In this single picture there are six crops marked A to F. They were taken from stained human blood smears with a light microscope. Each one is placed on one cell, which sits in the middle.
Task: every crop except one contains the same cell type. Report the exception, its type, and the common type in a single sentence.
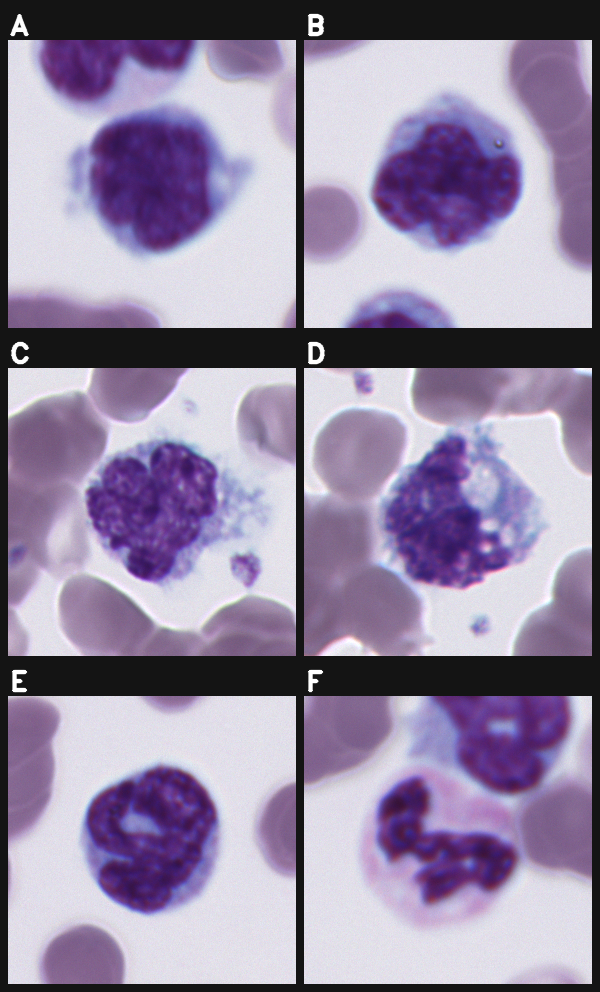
A different cell type, a segmented neutrophil, occupies crop F; the other crops show monocytes.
